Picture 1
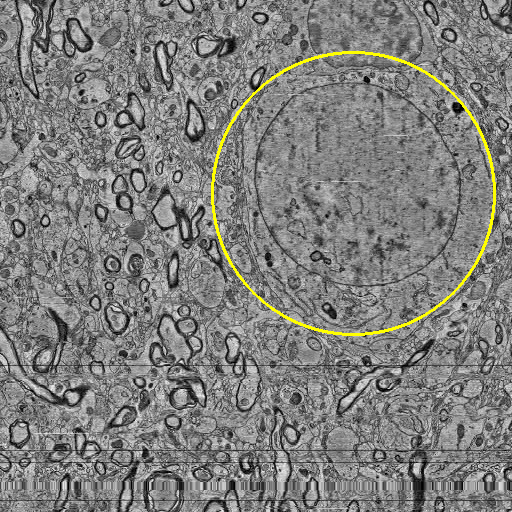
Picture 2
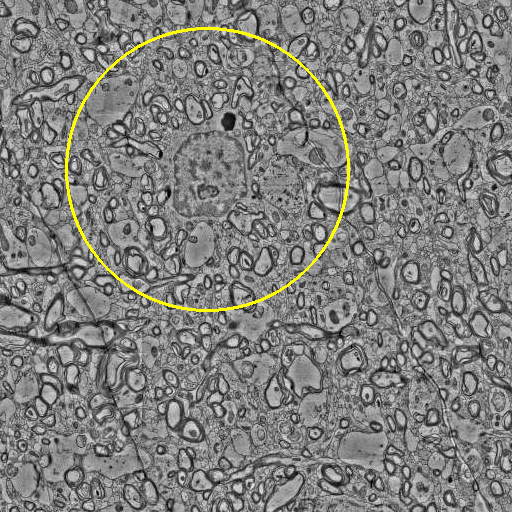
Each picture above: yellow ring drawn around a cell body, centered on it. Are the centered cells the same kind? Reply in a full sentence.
No, the two cells are two kinds of cell.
